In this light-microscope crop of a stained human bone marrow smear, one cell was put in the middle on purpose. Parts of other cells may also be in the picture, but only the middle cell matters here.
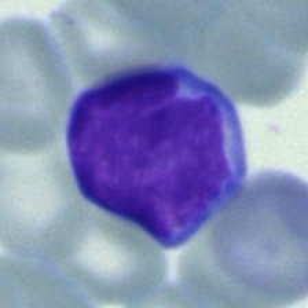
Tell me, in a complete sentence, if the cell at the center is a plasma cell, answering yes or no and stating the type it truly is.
No, the centre cell counts as a lymphocyte, not as a plasma cell.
